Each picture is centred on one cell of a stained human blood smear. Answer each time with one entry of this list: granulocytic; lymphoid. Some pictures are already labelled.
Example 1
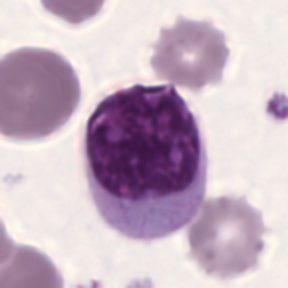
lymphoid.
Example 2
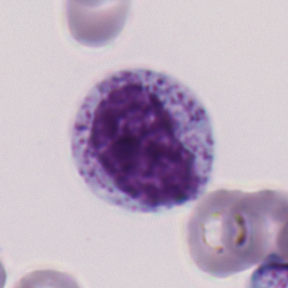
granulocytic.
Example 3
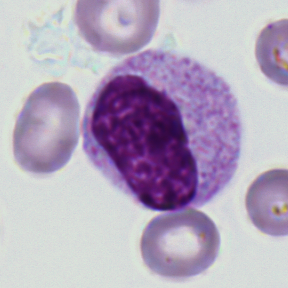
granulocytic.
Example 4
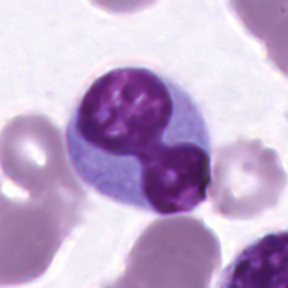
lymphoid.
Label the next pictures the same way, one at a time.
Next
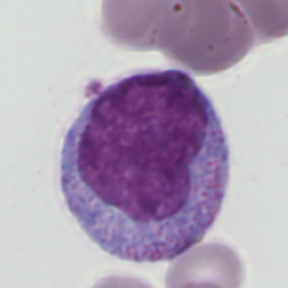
granulocytic.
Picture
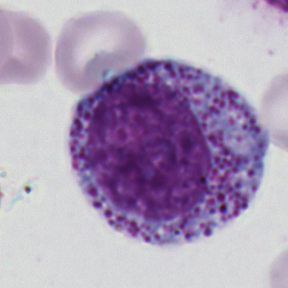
granulocytic.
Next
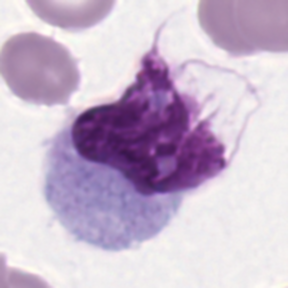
lymphoid.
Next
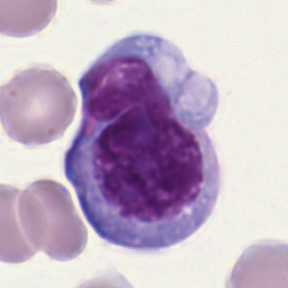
lymphoid.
